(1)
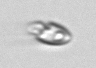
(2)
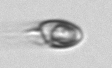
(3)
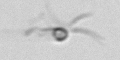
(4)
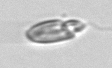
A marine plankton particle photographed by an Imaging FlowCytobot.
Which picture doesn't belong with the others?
Picture 3.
